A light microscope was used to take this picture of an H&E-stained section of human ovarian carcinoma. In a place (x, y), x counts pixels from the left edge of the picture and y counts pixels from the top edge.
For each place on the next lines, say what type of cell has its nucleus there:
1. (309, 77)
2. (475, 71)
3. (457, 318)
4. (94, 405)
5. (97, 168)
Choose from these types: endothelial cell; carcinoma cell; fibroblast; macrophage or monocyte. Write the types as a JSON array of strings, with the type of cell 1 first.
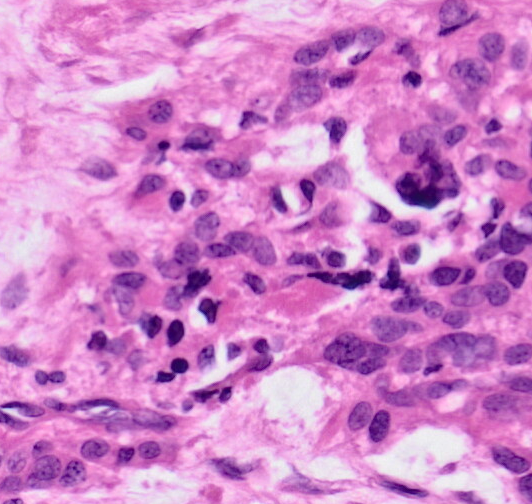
["carcinoma cell", "carcinoma cell", "carcinoma cell", "endothelial cell", "fibroblast"]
